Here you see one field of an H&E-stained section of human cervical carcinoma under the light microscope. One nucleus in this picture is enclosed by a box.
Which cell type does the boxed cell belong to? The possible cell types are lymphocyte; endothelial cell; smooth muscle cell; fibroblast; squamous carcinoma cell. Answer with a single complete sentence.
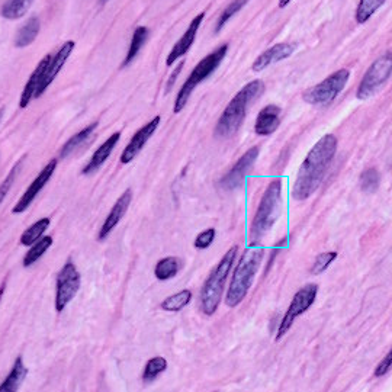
The cell type of the boxed cell is that of an endothelial cell.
